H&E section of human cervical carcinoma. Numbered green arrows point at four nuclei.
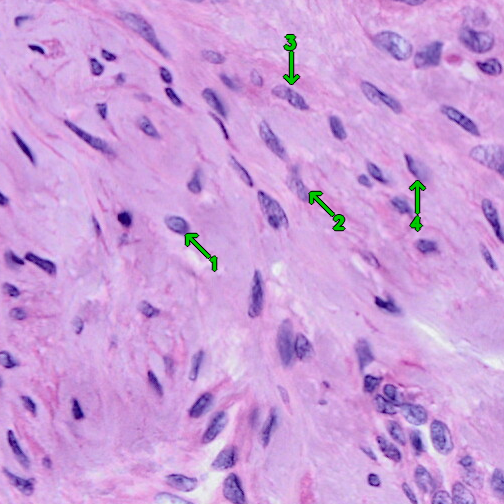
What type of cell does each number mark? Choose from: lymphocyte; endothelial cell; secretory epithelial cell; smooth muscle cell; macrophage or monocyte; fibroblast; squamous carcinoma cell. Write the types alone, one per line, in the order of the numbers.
fibroblast
smooth muscle cell
smooth muscle cell
smooth muscle cell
